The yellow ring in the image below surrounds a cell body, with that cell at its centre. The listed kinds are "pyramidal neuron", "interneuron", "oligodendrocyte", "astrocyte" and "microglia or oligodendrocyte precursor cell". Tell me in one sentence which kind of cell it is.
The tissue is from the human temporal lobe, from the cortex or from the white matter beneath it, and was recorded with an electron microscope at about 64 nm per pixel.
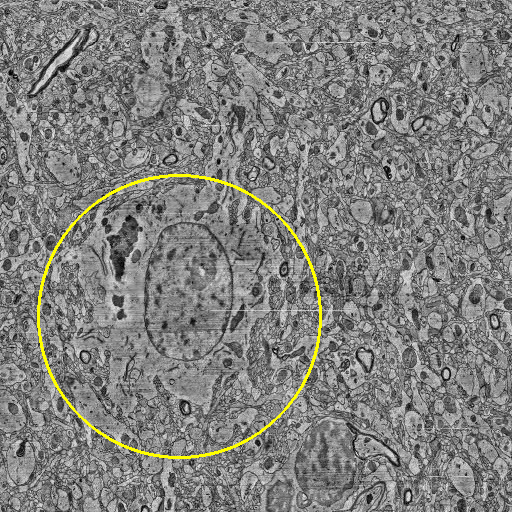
The centre of the ring holds an astrocyte.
